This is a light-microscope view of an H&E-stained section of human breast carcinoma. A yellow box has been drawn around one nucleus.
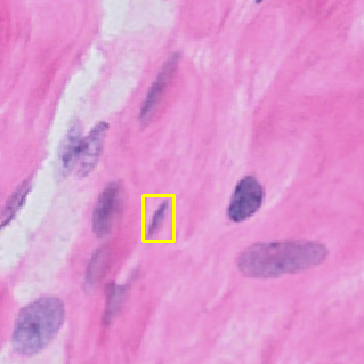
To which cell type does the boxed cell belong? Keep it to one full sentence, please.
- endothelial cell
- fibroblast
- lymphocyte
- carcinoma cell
For the purposes of cell typing, the boxed cell is categorized as a fibroblast.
